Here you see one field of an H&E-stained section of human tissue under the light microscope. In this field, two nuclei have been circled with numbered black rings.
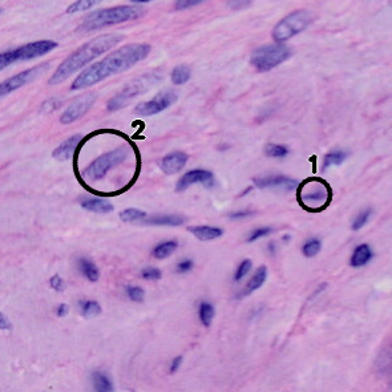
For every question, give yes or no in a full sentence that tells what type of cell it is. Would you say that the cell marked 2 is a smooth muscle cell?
Yes, the one with the number 2 is a smooth muscle cell.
